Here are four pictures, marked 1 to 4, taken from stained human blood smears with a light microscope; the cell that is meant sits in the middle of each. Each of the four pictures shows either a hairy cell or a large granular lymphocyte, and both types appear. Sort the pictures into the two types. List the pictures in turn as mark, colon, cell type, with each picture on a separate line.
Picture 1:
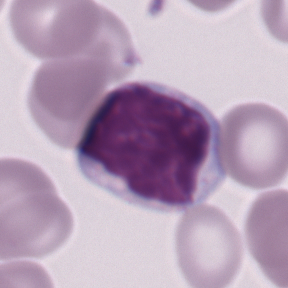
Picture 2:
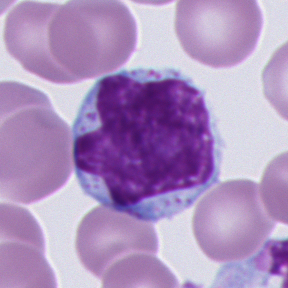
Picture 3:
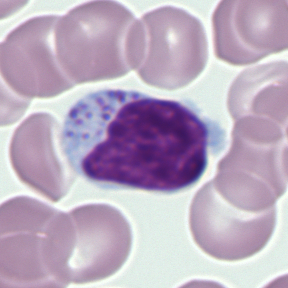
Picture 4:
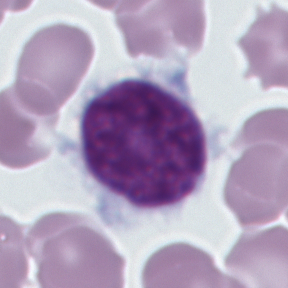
1: large granular lymphocyte
2: large granular lymphocyte
3: large granular lymphocyte
4: hairy cell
